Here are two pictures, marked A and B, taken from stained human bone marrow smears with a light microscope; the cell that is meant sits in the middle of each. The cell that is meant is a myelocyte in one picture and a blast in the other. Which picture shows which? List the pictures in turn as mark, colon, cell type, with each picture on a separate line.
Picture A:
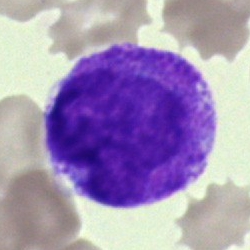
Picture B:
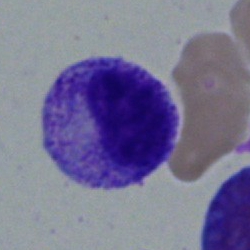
A: blast
B: myelocyte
